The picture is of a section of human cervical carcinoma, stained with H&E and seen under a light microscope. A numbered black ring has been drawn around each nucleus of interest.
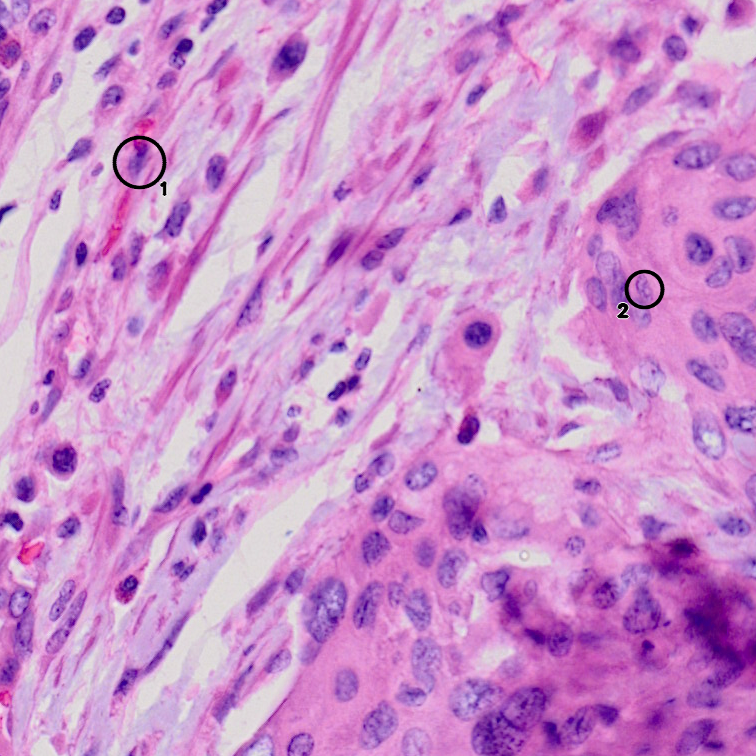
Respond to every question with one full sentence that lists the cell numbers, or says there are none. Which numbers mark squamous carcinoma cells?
Of the cells carrying numbers, just cell 2 is a squamous carcinoma cell.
